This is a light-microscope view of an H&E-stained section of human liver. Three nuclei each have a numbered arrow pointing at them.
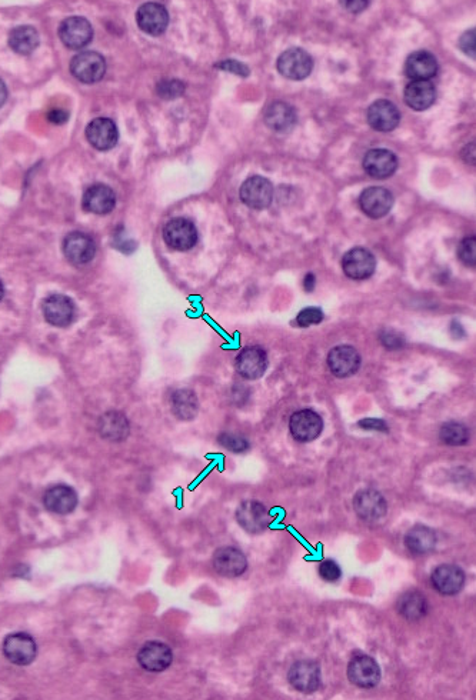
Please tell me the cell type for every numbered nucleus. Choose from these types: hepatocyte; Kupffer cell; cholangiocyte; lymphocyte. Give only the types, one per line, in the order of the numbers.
Kupffer cell
lymphocyte
hepatocyte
